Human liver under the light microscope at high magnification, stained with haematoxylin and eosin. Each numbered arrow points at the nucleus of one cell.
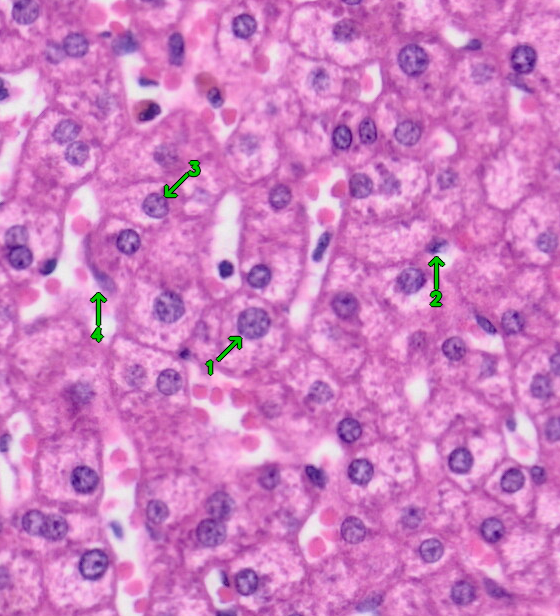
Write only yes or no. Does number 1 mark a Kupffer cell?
no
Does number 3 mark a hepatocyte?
yes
